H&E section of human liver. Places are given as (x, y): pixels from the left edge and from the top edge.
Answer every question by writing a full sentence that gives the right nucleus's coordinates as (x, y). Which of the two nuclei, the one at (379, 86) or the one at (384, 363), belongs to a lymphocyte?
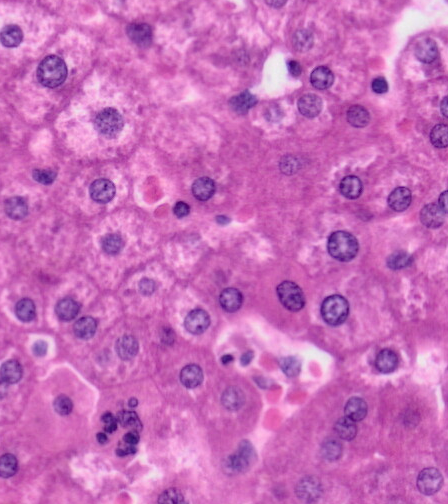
The nucleus at (379, 86) is assigned to a lymphocyte.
